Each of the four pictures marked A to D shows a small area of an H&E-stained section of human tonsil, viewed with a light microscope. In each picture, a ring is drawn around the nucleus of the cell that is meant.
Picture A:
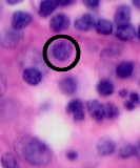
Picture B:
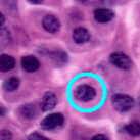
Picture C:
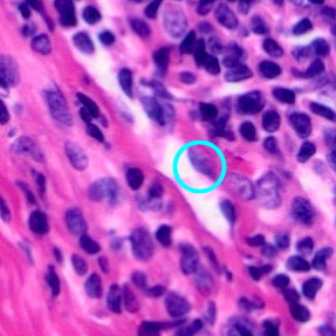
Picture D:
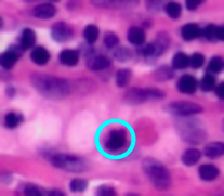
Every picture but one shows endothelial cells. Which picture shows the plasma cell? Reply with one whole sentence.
Picture B is the one that shows the plasma cell.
